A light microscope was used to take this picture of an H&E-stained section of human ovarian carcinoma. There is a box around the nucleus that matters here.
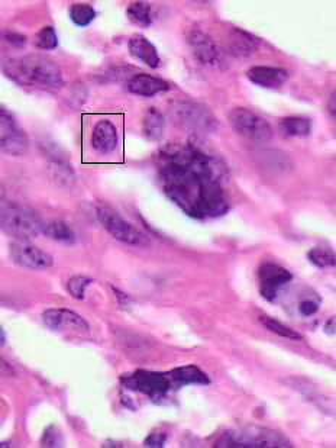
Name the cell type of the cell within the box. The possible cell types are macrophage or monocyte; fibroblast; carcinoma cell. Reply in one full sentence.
Cell type answer for this item: the cell within the box is a macrophage or monocyte.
